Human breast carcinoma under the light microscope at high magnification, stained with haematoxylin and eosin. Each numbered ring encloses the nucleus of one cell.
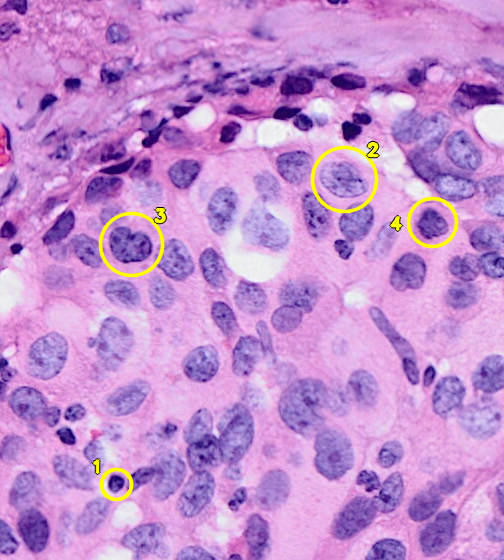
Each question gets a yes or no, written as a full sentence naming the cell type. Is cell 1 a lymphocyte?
Yes, it is a lymphocyte that carries the number 1.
